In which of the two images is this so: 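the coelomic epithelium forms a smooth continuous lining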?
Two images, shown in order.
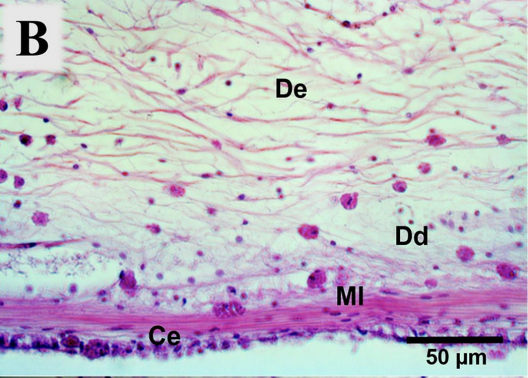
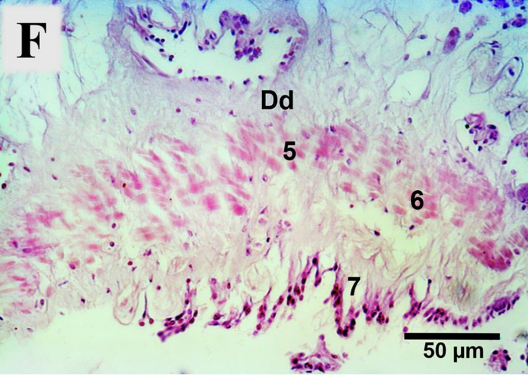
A: the first image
